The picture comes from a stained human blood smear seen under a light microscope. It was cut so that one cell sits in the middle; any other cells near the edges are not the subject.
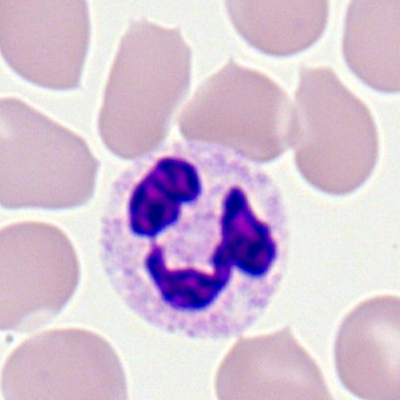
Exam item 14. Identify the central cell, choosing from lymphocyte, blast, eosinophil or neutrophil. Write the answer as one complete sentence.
The cell marked by its central position in the crop is a neutrophil.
